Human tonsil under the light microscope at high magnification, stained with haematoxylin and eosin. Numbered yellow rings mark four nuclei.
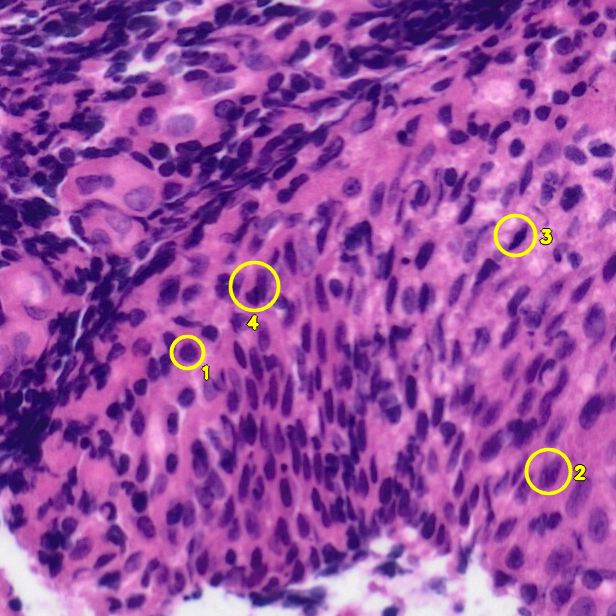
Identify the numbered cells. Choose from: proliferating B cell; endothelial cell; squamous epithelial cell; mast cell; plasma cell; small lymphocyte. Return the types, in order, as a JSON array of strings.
["plasma cell", "squamous epithelial cell", "squamous epithelial cell", "squamous epithelial cell"]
